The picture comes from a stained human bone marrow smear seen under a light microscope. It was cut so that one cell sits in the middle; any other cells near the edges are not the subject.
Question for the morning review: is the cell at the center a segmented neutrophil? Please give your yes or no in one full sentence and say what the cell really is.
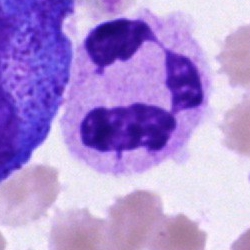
Yes, the cell centred in the field of view is a segmented neutrophil.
